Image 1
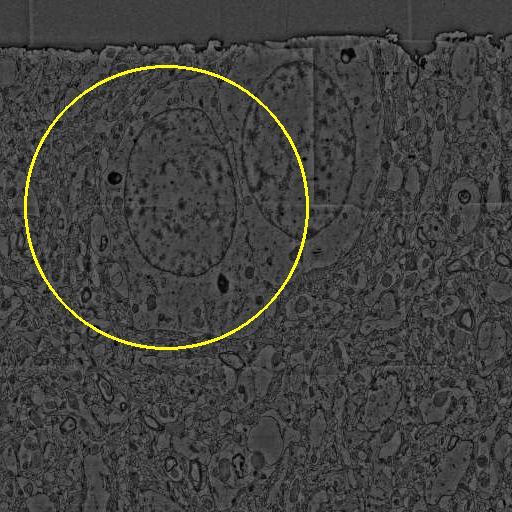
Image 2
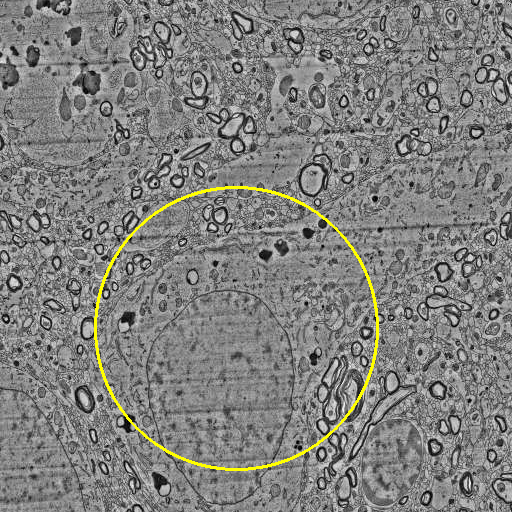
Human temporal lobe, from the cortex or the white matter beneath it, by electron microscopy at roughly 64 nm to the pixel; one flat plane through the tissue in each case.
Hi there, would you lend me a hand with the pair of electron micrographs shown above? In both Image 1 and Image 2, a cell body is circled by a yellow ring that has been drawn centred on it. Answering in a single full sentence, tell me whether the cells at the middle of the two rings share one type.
Yes, the ringed cells in Image 1 and Image 2 share one type.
